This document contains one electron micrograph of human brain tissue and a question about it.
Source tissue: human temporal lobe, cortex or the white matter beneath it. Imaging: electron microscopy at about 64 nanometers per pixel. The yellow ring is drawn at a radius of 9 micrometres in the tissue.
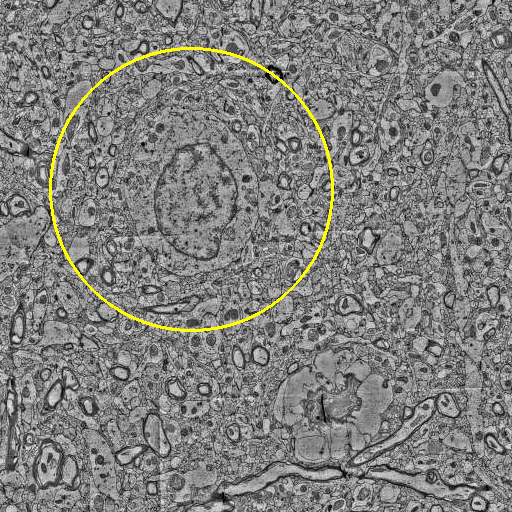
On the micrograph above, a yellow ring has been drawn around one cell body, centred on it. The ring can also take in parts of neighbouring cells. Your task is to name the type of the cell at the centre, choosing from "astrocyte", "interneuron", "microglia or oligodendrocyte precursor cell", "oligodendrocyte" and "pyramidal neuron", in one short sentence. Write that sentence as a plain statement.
Here the ring is centred on an interneuron.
